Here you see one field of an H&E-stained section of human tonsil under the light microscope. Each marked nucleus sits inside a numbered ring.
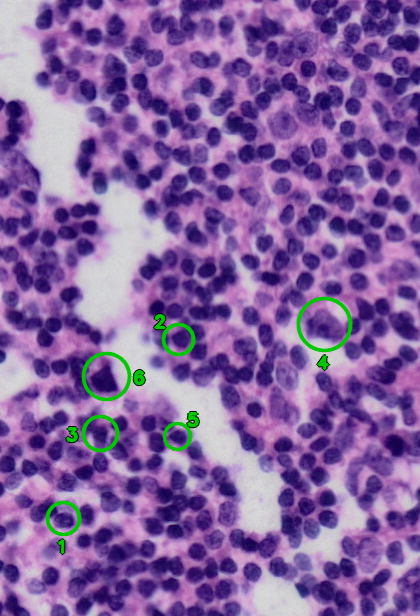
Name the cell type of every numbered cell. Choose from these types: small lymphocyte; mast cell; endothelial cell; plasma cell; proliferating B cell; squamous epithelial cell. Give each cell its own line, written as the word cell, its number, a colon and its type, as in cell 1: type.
cell 1: small lymphocyte
cell 2: small lymphocyte
cell 3: small lymphocyte
cell 4: proliferating B cell
cell 5: small lymphocyte
cell 6: proliferating B cell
